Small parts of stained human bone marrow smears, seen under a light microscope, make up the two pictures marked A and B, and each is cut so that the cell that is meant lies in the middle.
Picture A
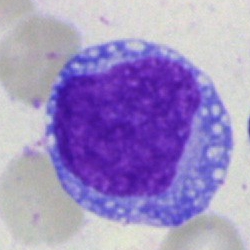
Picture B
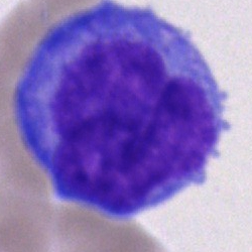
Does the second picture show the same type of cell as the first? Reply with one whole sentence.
Yes, both are blasts.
